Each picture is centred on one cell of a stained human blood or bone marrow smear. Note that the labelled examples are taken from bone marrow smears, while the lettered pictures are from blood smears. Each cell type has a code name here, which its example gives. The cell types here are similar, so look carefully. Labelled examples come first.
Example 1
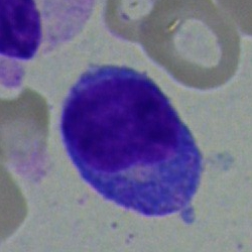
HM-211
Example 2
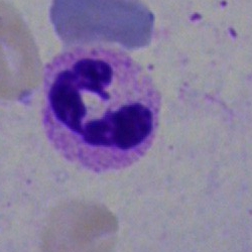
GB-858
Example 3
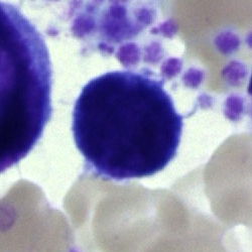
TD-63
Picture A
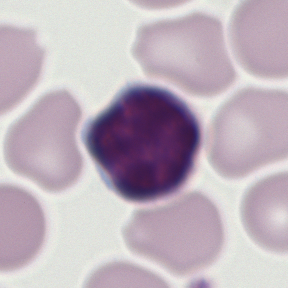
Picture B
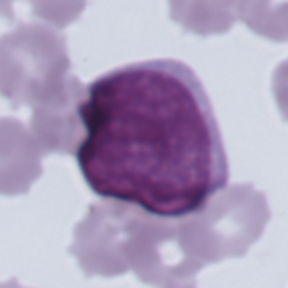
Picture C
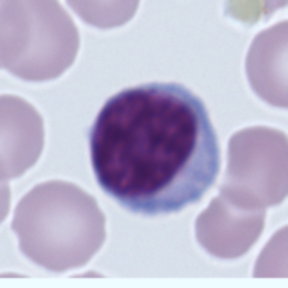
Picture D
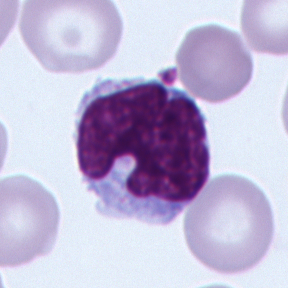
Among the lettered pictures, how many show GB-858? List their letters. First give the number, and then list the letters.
0, none of them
